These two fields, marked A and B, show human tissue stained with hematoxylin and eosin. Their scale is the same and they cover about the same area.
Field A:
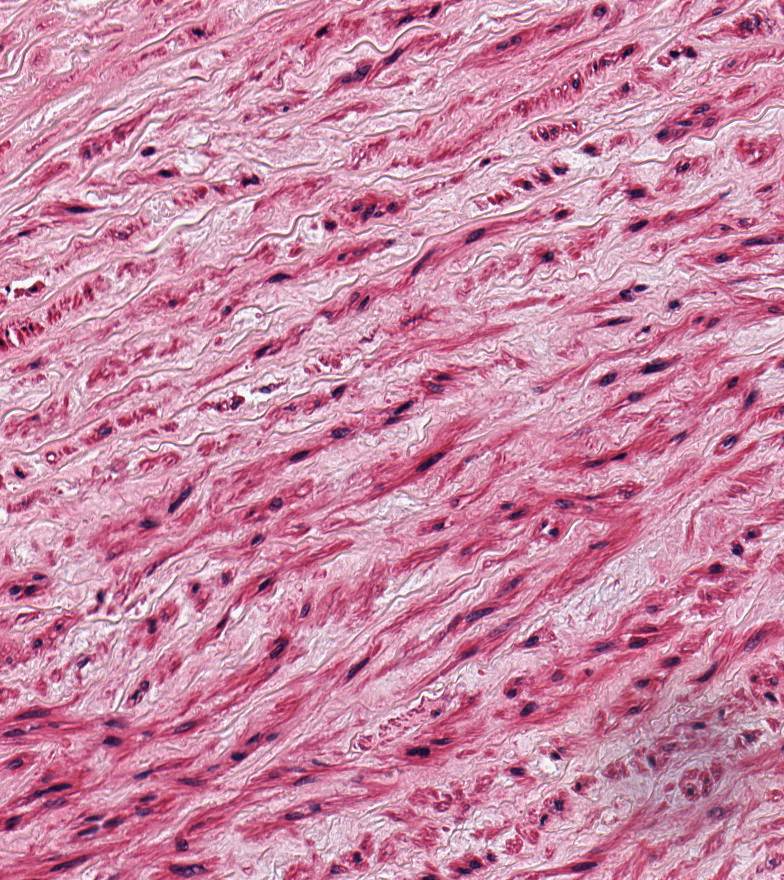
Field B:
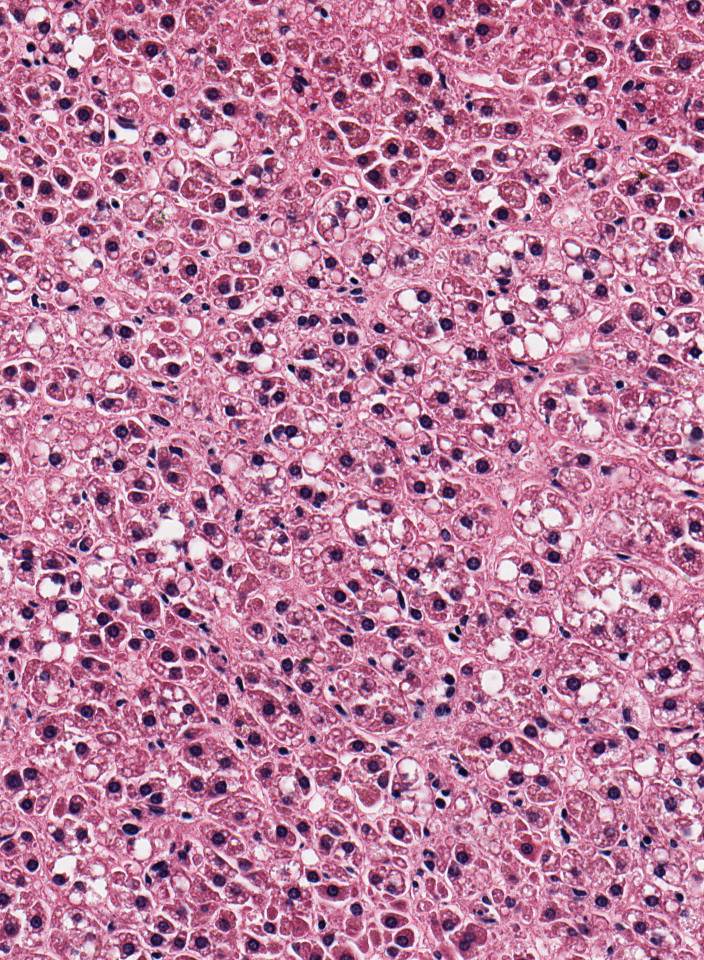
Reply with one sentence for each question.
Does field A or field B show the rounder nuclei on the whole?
It is field B whose nuclei are the rounder.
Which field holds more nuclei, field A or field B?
There are more nuclei in field B.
